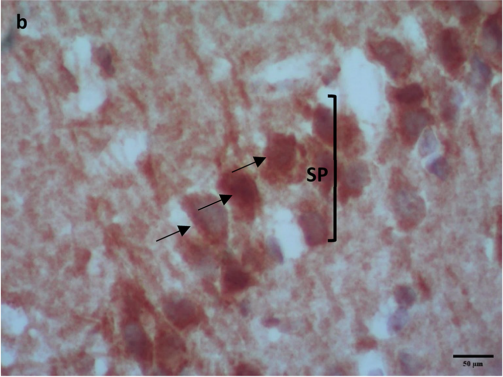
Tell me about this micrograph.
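Here the stratum pyramidale shows a cluster of rounded to irregular neuronal cell bodies, several of them stained a deep brown so heavy that the nucleus is hardly made out, while others show a bluish nucleus within brown cytoplasm. Clear, empty-looking spaces lie among the cells, set in a paler, granular brownish neuropil.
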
